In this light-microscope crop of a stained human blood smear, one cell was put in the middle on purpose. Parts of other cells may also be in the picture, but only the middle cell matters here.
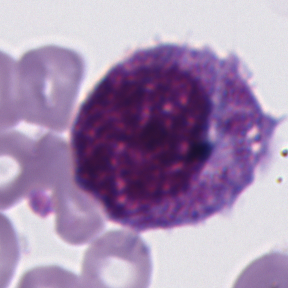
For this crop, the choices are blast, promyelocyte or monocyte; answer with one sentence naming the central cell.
The centrally placed cell is classified as a promyelocyte.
